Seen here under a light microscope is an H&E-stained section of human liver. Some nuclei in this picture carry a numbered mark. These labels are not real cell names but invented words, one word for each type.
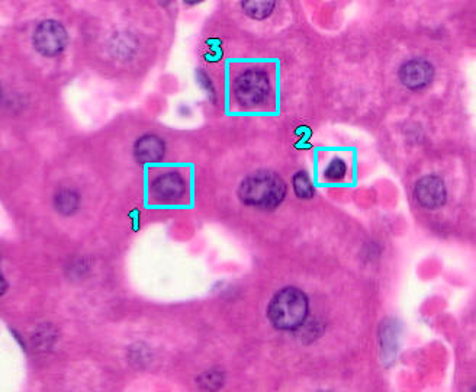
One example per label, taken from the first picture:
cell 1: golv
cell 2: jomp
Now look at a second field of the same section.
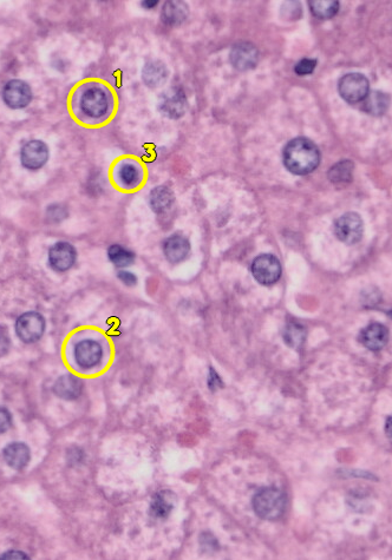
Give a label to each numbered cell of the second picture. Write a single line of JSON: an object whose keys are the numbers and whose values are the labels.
{"1": "golv", "2": "golv", "3": "jomp"}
